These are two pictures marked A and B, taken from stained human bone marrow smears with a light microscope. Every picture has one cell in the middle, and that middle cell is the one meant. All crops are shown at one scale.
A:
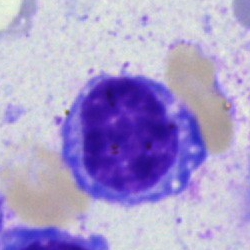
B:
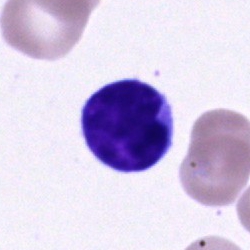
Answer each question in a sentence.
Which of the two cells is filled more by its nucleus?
It is the cell in crop B that is filled more by its nucleus.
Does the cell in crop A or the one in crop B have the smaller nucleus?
Crop B shows the smaller nucleus, since that in crop A covers about 1.5 times as much area.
